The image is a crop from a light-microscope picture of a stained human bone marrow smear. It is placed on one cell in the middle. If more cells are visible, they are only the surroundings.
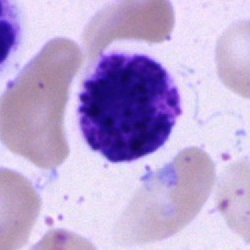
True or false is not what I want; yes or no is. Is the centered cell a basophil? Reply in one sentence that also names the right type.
Yes, the middle cell is classified as a basophil.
